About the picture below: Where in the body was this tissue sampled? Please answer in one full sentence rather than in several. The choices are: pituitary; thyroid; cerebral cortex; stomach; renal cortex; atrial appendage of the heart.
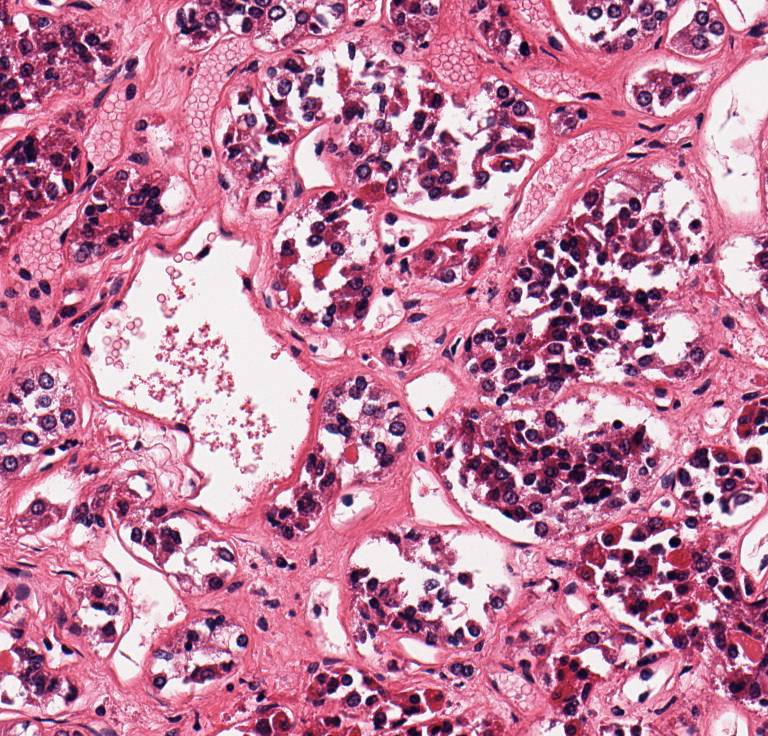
This tissue section originates from the pituitary.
